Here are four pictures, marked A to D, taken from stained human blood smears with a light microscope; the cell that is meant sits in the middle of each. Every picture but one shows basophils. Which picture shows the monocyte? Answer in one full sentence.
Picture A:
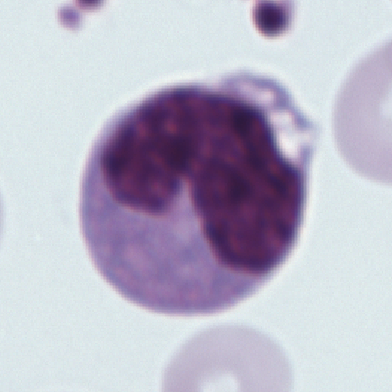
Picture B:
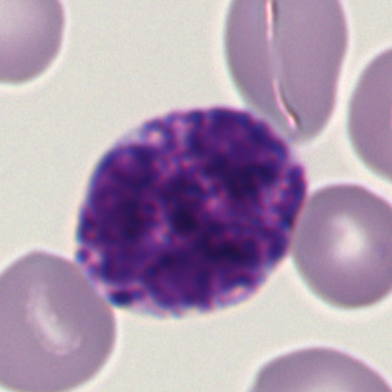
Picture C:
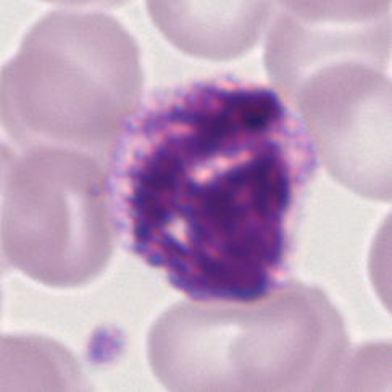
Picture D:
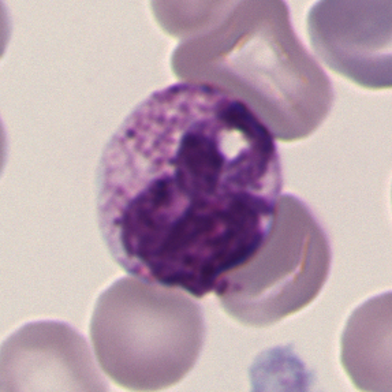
The picture with the monocyte is A.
